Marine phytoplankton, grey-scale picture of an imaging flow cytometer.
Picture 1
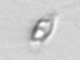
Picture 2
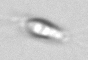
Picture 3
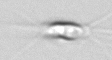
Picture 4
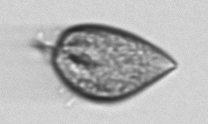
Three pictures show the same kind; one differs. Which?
Picture 4: Prorocentrum, while the others are Chrysochromulina parkeae.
